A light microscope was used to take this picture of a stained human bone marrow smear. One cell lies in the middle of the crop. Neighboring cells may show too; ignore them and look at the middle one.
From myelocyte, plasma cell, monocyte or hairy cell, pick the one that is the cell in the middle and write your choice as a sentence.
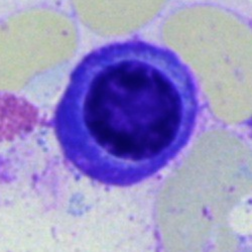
The middle of this crop holds a plasma cell.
